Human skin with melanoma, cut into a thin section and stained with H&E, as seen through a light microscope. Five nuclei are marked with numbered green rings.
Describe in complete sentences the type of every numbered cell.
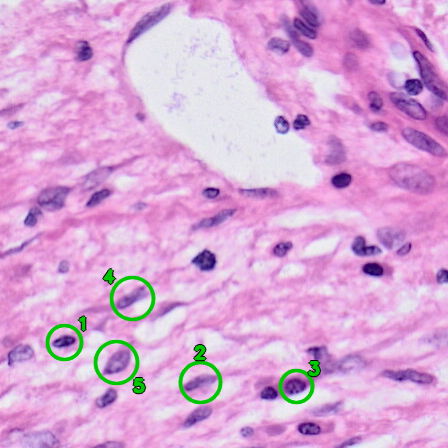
Cell 1 is a lymphocyte. Cells 2, 4 and 5 are fibroblasts or myofibroblasts. Cell 3 is a plasma cell.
